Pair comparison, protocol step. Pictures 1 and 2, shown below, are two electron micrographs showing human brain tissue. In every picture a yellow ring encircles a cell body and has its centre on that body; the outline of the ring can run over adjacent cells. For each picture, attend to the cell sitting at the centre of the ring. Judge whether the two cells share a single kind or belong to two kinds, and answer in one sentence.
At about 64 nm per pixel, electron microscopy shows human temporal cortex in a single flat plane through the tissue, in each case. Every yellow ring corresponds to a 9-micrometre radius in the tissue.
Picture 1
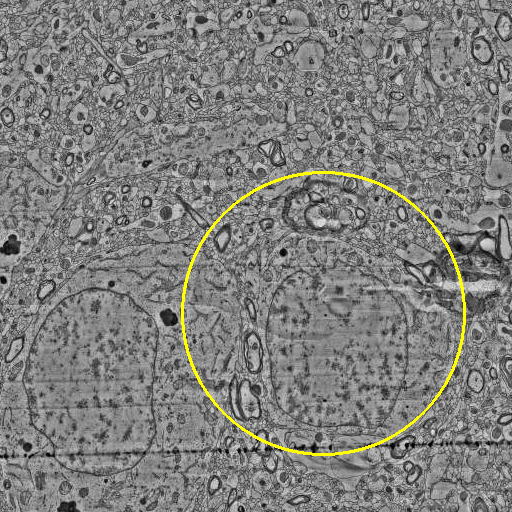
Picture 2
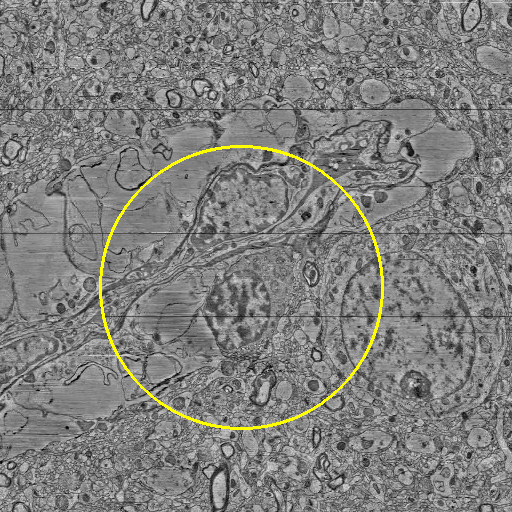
The two cells at the ring centres in Picture 1 and Picture 2 belong to two kinds.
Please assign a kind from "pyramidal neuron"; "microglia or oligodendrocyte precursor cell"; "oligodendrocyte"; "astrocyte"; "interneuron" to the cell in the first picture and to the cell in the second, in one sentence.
In the first picture we have a pyramidal neuron, and in the second, an oligodendrocyte.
